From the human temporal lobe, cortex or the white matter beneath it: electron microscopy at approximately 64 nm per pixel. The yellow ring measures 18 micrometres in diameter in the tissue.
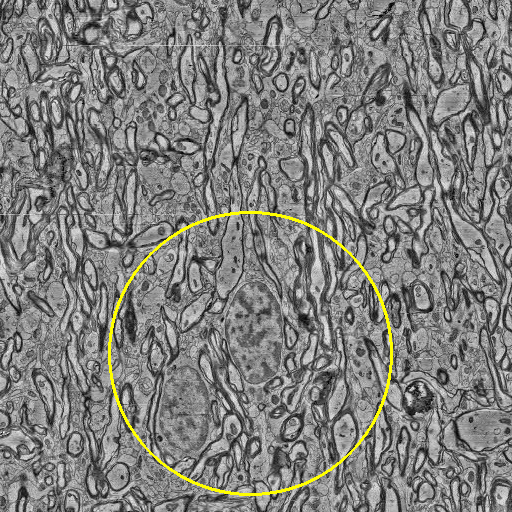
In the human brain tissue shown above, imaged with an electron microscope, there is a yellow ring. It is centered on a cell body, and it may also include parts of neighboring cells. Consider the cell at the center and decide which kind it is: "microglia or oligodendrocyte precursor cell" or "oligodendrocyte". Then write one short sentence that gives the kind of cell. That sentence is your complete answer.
This centered cell body is that of a microglial cell or oligodendrocyte precursor cell.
